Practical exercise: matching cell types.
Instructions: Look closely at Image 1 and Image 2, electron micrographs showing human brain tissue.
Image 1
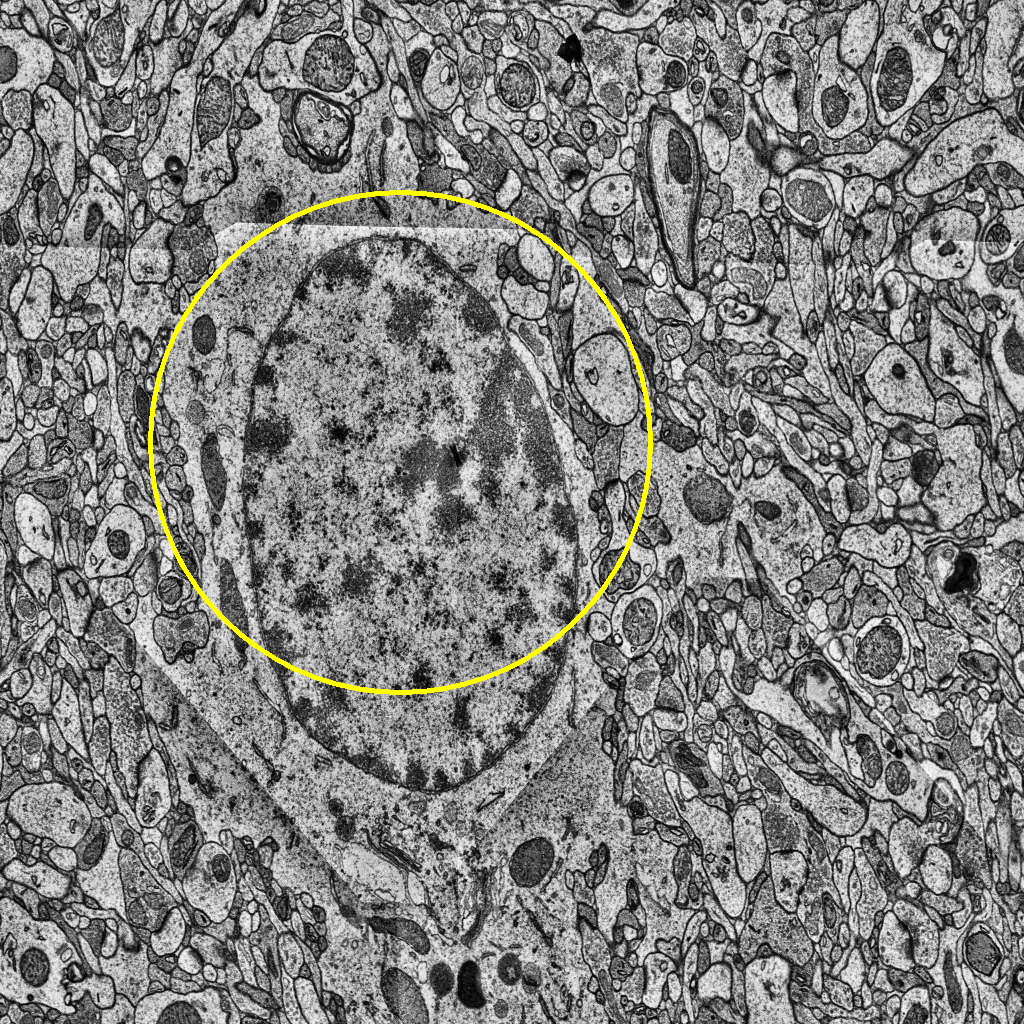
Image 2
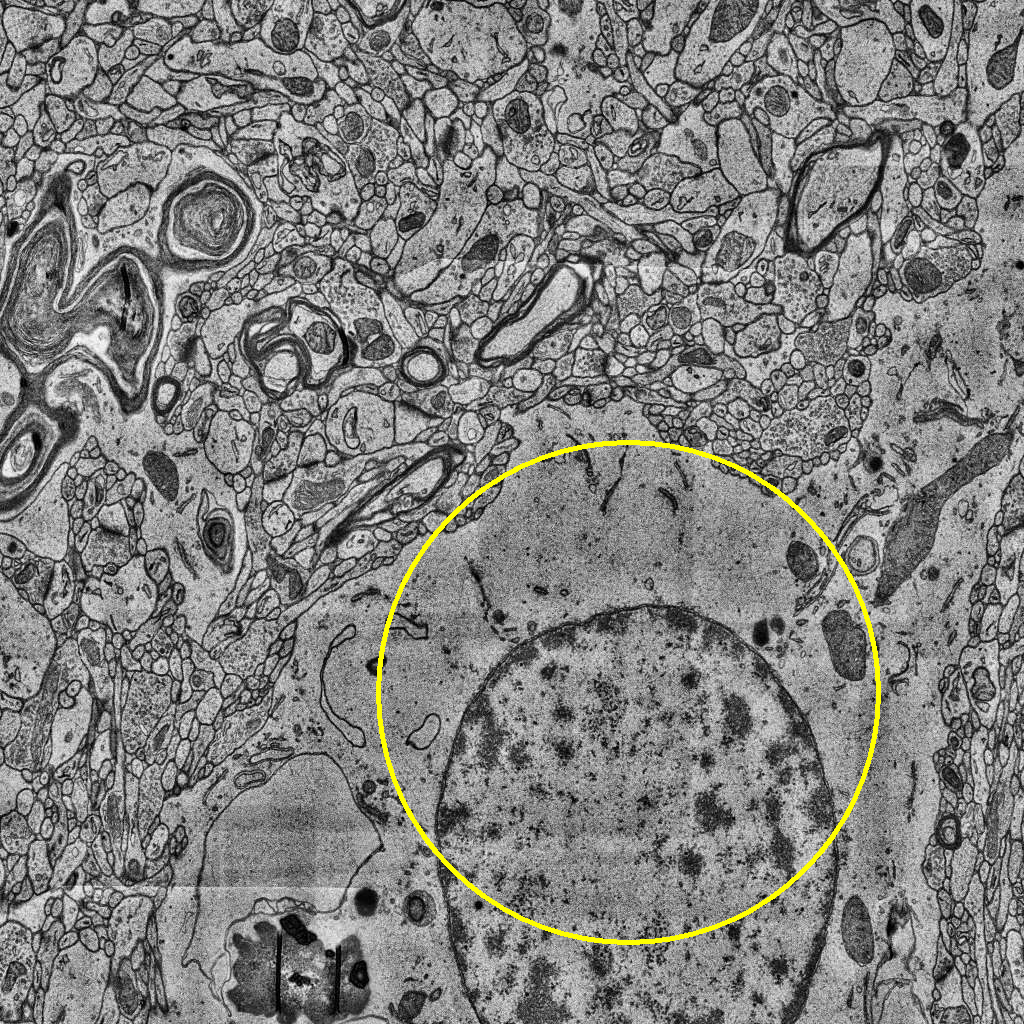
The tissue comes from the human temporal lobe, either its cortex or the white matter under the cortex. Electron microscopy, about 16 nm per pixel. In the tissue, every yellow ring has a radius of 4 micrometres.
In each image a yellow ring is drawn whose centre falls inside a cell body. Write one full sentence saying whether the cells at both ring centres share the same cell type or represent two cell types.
Across Image 1 and Image 2, the cells at the ring centres share the same cell type.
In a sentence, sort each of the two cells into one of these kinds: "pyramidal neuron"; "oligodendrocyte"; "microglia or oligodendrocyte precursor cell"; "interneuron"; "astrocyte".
The first and the second cell are each an astrocyte.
